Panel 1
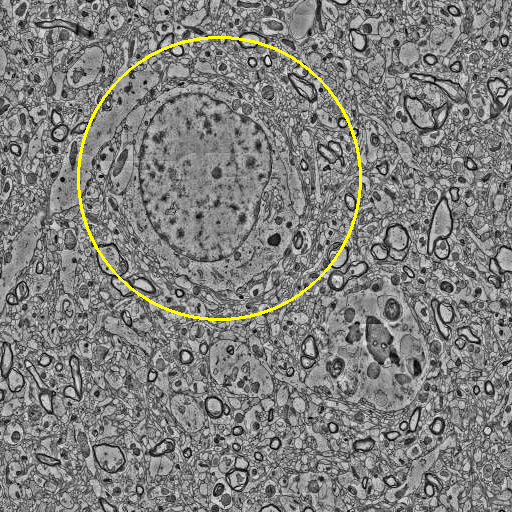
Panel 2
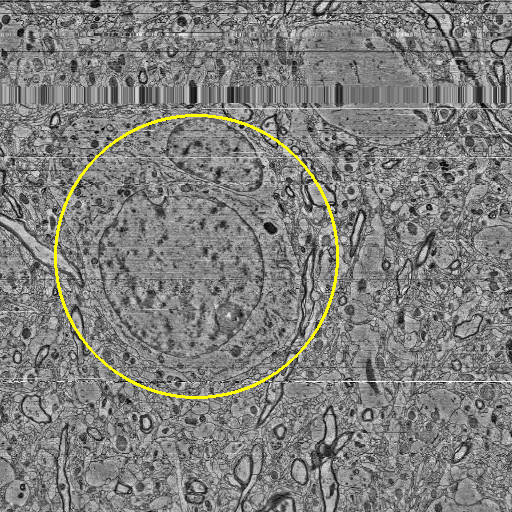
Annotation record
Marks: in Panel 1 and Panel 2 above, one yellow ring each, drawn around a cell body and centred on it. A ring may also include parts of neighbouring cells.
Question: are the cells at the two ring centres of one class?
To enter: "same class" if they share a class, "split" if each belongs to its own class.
same class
